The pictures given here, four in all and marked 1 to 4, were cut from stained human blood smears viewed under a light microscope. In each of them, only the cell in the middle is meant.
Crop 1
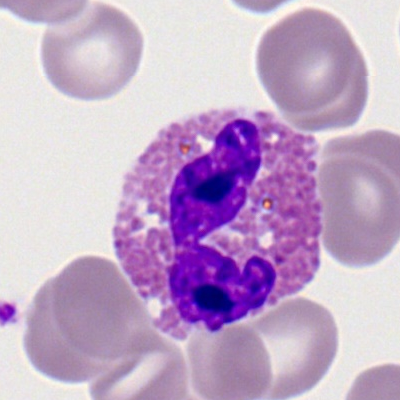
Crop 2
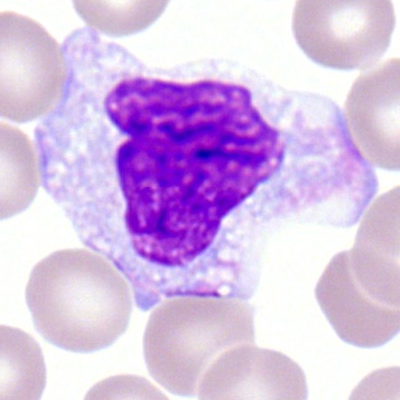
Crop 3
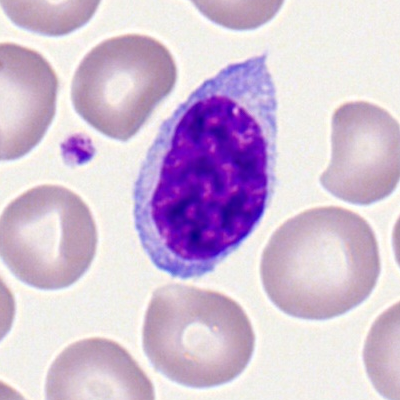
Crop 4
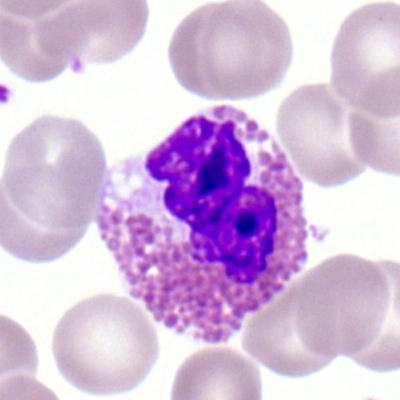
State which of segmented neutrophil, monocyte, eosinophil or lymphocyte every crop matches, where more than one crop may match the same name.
1: eosinophil
2: monocyte
3: lymphocyte
4: eosinophil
